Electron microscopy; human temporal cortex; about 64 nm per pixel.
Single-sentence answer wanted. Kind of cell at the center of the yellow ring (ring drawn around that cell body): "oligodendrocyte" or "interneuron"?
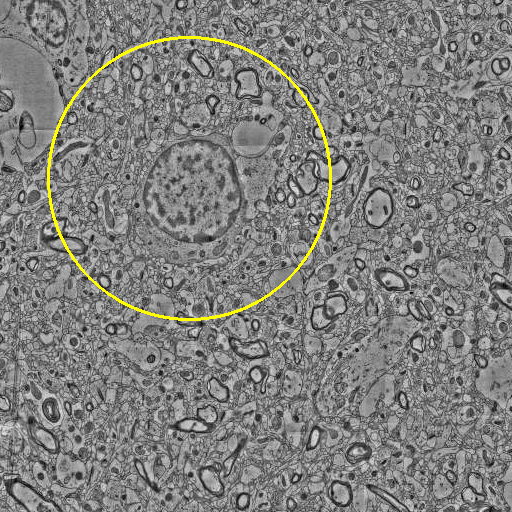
The cell centered in the ring is an oligodendrocyte.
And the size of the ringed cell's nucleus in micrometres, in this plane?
About 6 micrometres across in this plane, for the nucleus.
